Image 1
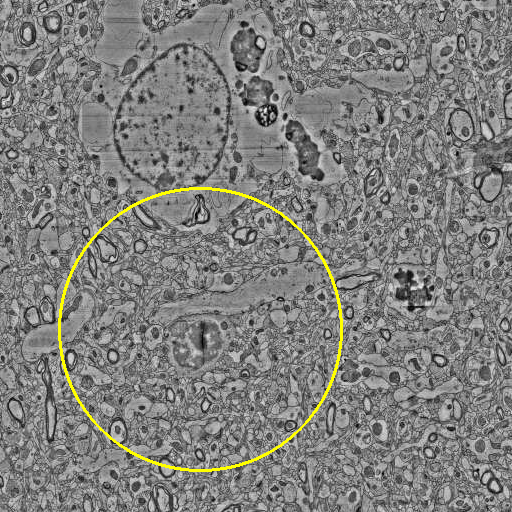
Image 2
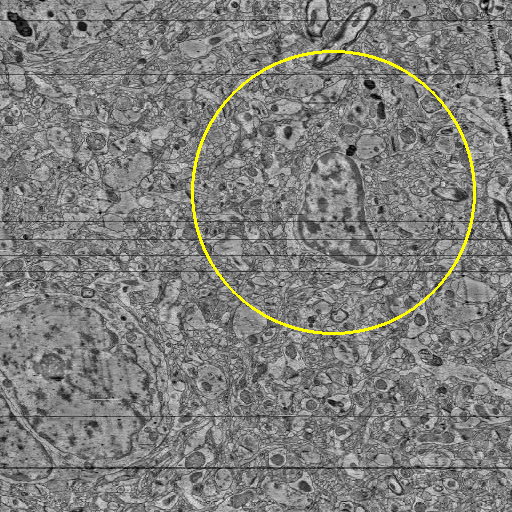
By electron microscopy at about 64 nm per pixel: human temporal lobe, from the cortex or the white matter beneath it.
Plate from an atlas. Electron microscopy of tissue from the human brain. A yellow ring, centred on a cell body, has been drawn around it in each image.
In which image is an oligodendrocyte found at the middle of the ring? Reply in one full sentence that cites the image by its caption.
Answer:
The requested cell is the one at the ring's centre in Image 1.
